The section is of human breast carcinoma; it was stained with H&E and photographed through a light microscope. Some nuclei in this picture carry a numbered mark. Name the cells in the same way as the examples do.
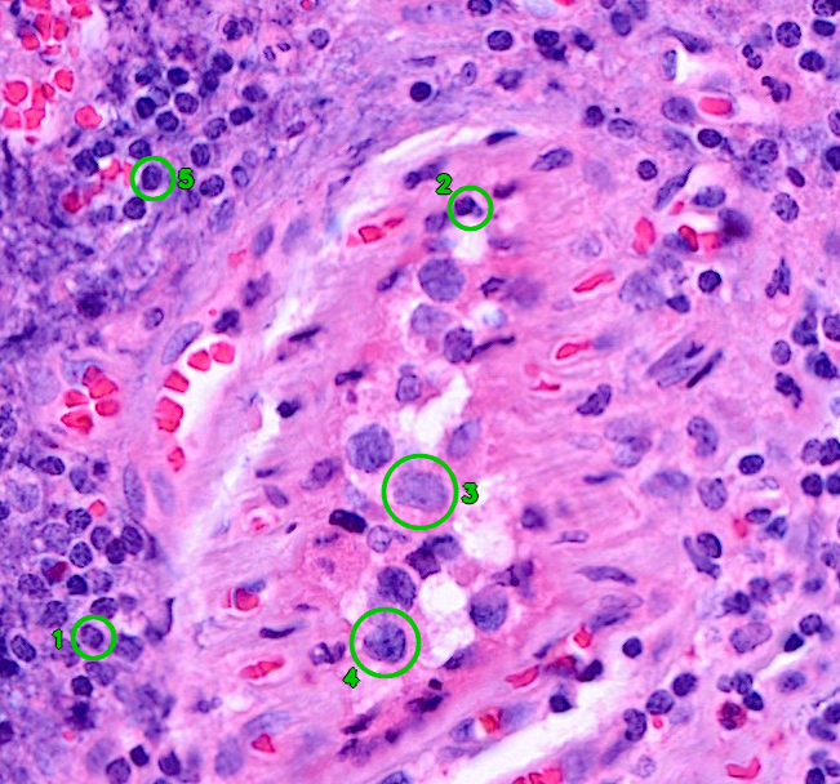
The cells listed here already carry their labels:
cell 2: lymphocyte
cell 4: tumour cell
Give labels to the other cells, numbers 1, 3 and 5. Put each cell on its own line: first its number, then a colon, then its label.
1: lymphocyte
3: tumour cell
5: lymphocyte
